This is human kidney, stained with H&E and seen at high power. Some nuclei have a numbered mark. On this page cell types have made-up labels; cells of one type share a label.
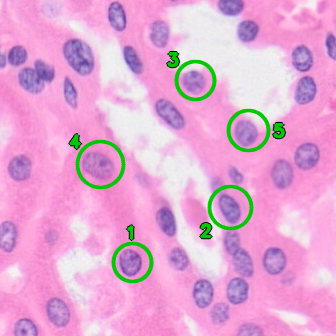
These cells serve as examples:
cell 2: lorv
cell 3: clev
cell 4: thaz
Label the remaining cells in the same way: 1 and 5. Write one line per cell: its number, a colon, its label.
1: thaz
5: clev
